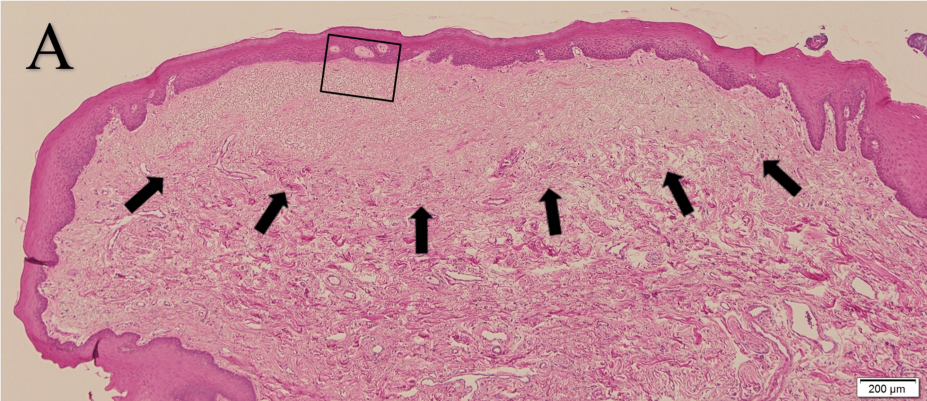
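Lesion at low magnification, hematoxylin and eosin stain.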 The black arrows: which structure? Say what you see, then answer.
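A pale pink, finely fibrillar band lies directly beneath the surface epithelium. The arrows point along the lower edge of this band. The band is paler and finer in texture than the coarser connective tissue below.
Conclusion: delicate eosinophilic fibers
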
